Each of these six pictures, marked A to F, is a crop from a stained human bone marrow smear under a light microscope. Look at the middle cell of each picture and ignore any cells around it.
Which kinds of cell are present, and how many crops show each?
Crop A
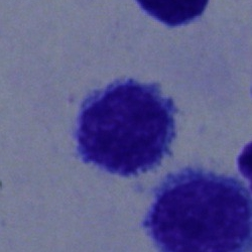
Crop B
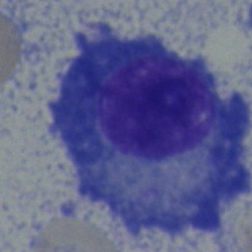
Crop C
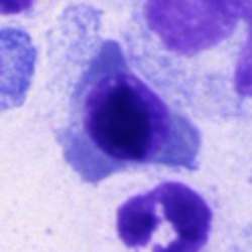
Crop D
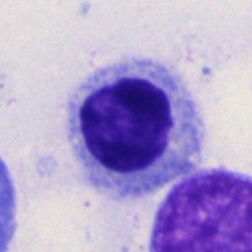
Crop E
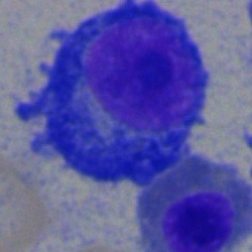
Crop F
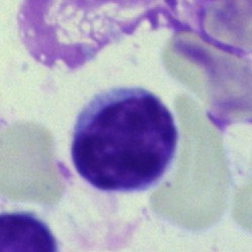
lymphocyte: 2
plasma cell: 2
erythroblast: 2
